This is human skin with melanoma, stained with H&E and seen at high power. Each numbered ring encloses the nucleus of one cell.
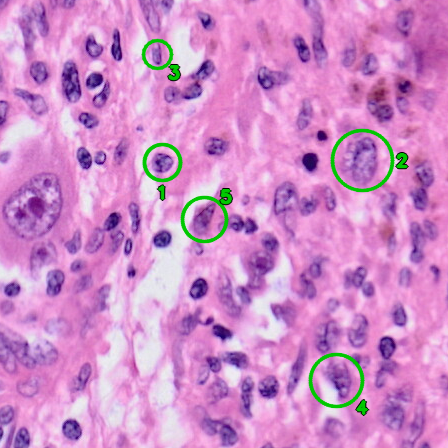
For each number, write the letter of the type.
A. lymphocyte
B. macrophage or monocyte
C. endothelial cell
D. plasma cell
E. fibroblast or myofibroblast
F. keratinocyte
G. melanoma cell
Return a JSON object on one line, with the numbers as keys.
{"1": "A", "2": "G", "3": "B", "4": "G", "5": "B"}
